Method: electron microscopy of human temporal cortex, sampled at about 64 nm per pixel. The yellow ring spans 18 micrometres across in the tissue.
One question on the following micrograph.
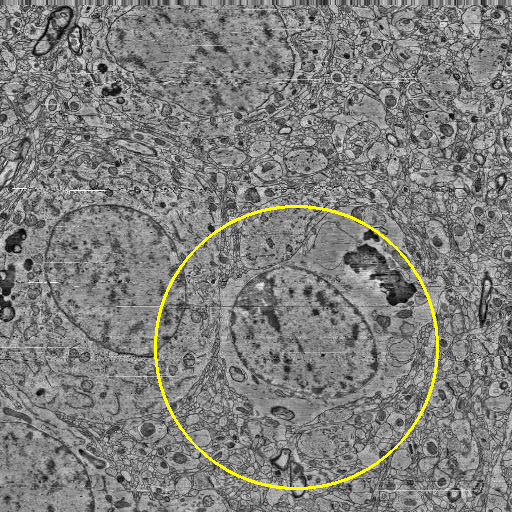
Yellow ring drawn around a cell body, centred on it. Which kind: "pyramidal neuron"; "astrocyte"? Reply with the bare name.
astrocyte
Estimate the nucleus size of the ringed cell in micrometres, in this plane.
Approximately 10 x 8 micrometres in this plane.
